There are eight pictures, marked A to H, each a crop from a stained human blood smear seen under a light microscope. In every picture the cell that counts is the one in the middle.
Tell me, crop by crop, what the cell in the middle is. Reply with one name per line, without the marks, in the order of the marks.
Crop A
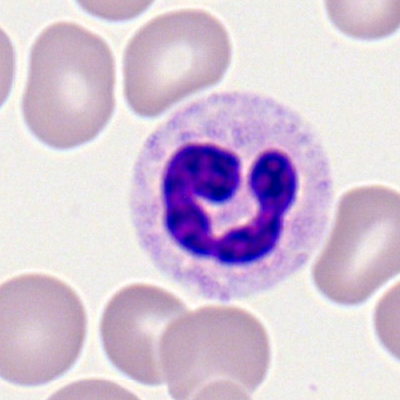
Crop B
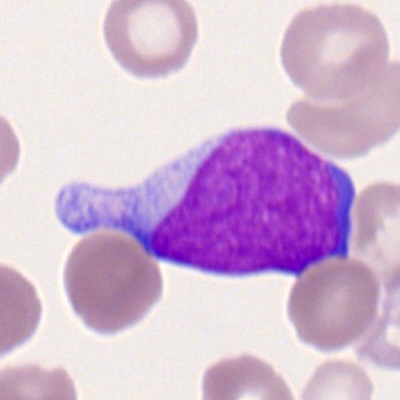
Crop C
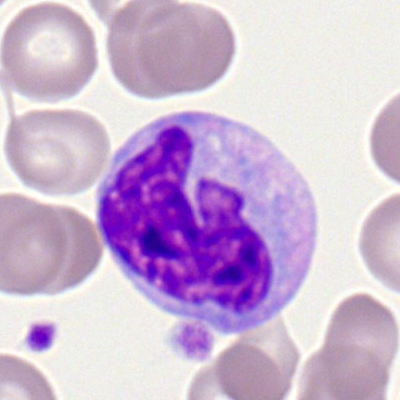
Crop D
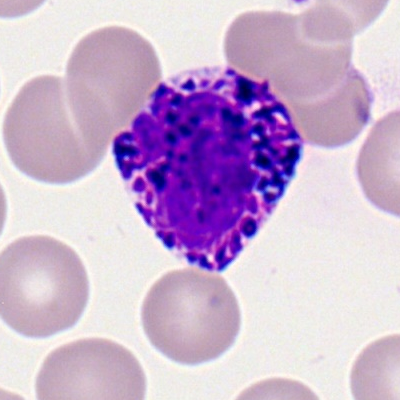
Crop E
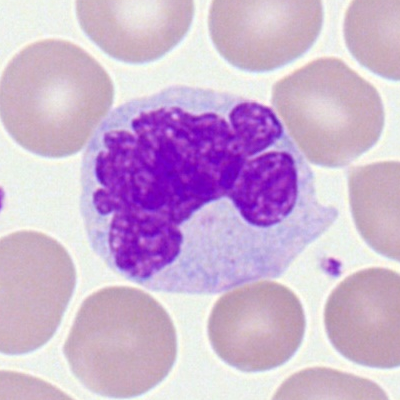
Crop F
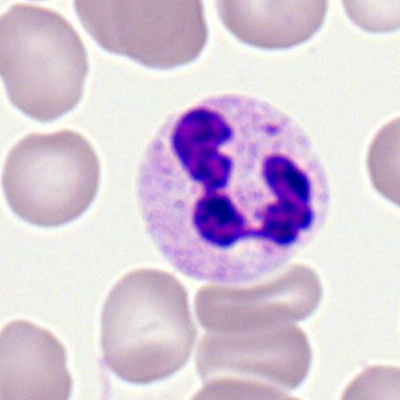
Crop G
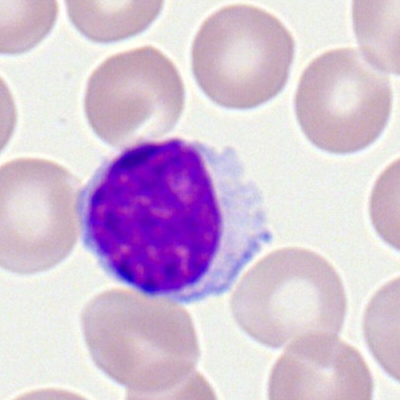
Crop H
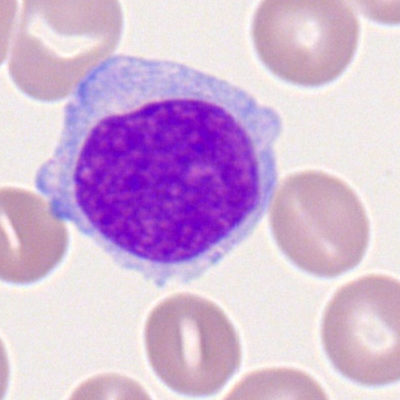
segmented neutrophil
myeloblast
monocyte
basophil
monocyte
segmented neutrophil
lymphocyte
myeloblast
